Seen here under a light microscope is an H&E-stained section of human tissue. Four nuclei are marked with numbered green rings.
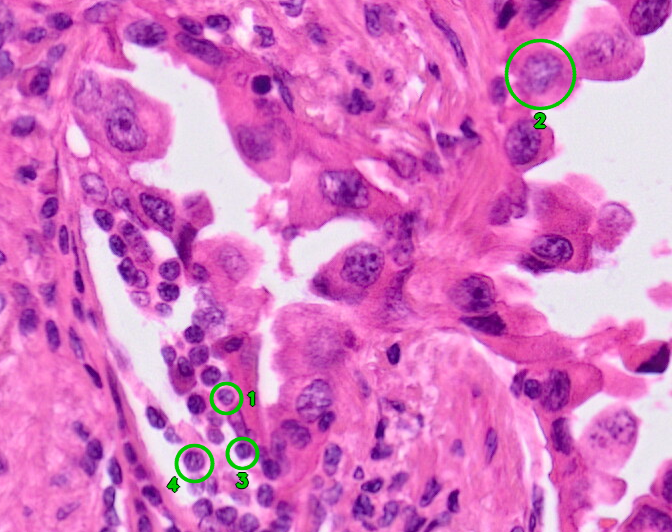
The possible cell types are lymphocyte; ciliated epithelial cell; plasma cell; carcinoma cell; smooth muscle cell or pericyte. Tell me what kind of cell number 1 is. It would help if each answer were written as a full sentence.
In the marked set, the cell given number 1 is a lymphocyte.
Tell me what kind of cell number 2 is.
The one numbered 2 among the marked cells is a carcinoma cell.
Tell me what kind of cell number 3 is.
The cell to which the number 3 is assigned is a lymphocyte.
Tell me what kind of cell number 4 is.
Numbered cell 4 is a lymphocyte in this tissue section.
